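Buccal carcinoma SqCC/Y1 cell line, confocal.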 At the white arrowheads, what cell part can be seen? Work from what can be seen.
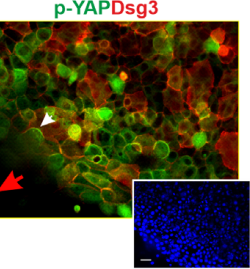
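Plasma membrane. Red outlines trace the edges of neighbouring cells.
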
